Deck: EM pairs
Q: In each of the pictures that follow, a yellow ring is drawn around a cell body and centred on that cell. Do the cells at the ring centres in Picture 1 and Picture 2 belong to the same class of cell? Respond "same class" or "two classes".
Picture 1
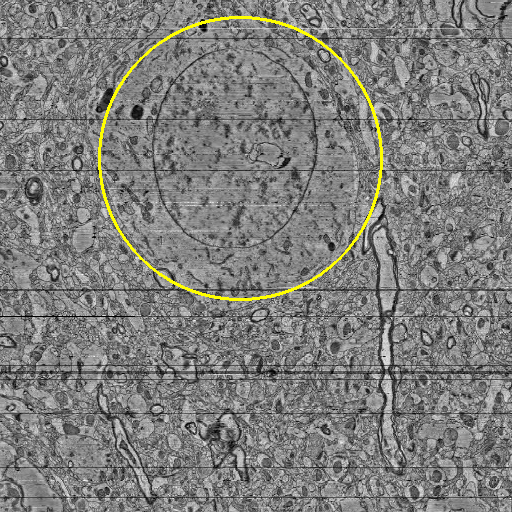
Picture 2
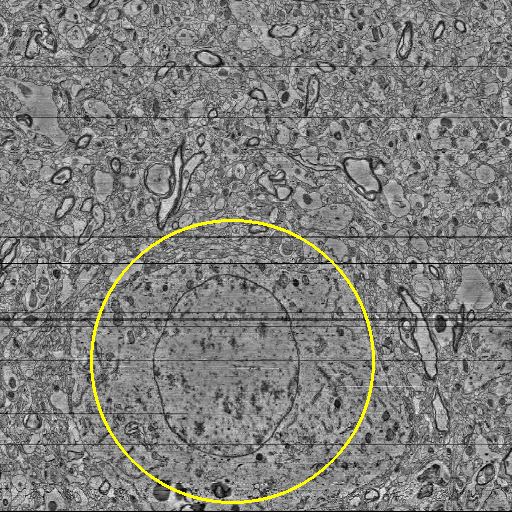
same class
